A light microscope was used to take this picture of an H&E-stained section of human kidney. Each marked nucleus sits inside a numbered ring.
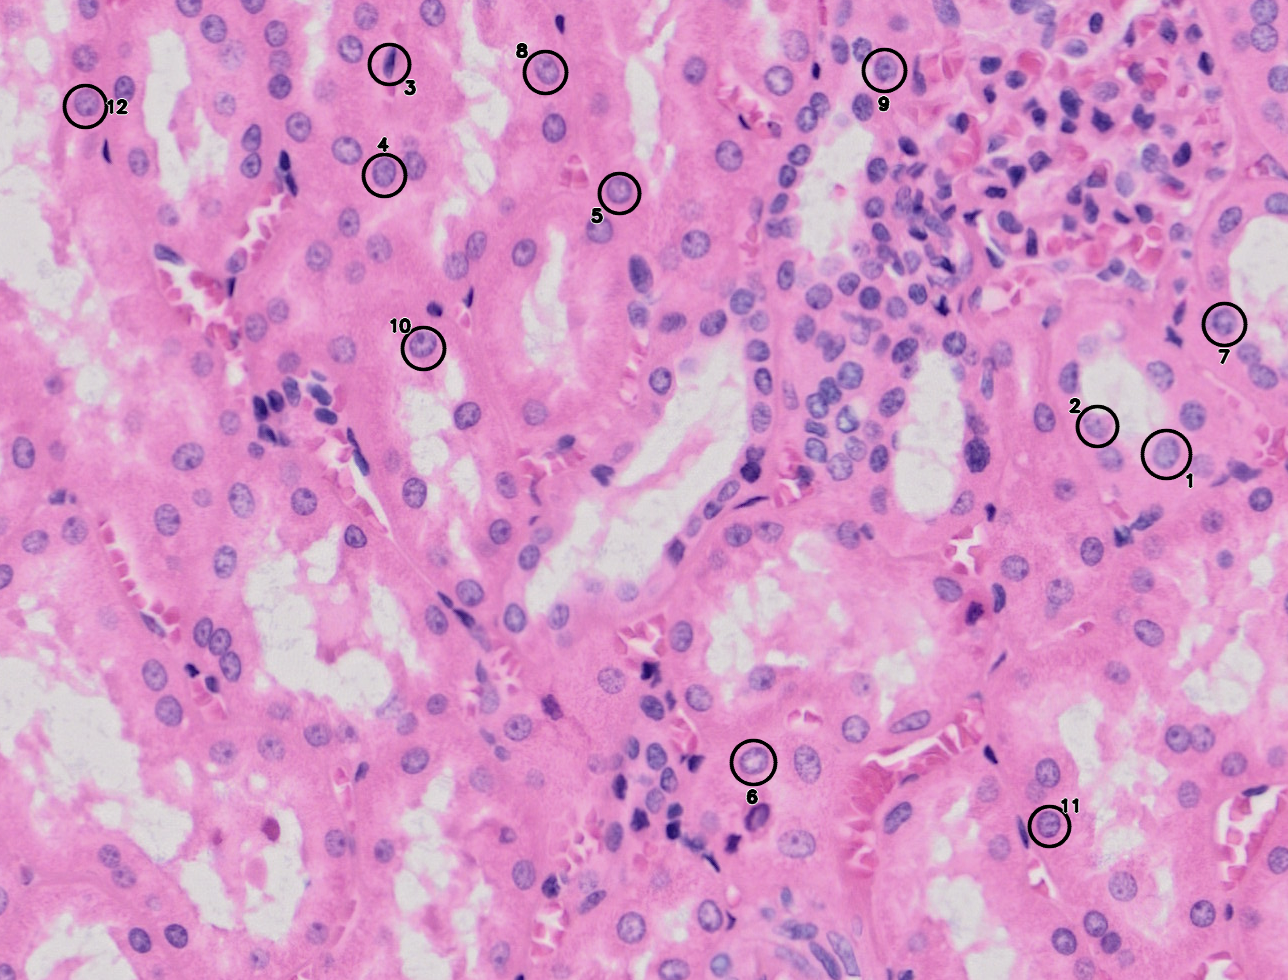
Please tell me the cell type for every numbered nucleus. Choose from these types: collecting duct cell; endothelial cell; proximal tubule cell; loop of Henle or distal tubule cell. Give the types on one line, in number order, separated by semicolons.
loop of Henle or distal tubule cell; loop of Henle or distal tubule cell; endothelial cell; proximal tubule cell; proximal tubule cell; proximal tubule cell; loop of Henle or distal tubule cell; proximal tubule cell; loop of Henle or distal tubule cell; proximal tubule cell; proximal tubule cell; proximal tubule cell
